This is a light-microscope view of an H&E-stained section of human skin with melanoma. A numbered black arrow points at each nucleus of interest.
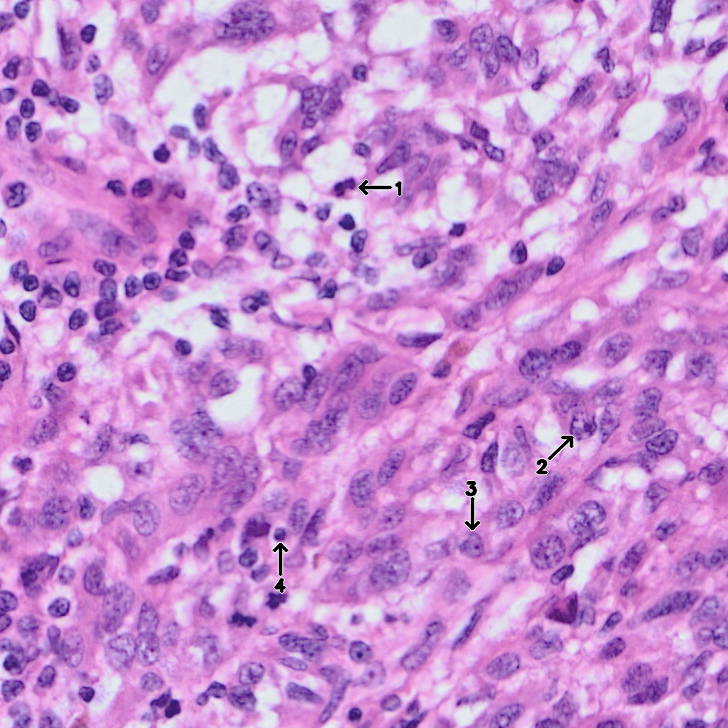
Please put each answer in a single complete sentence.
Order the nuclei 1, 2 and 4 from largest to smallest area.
The nuclei rank 2, 1, 4, from largest to smallest.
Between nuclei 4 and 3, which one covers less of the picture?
Nucleus 4 covers less area, with nucleus 3 about 3 times as large.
